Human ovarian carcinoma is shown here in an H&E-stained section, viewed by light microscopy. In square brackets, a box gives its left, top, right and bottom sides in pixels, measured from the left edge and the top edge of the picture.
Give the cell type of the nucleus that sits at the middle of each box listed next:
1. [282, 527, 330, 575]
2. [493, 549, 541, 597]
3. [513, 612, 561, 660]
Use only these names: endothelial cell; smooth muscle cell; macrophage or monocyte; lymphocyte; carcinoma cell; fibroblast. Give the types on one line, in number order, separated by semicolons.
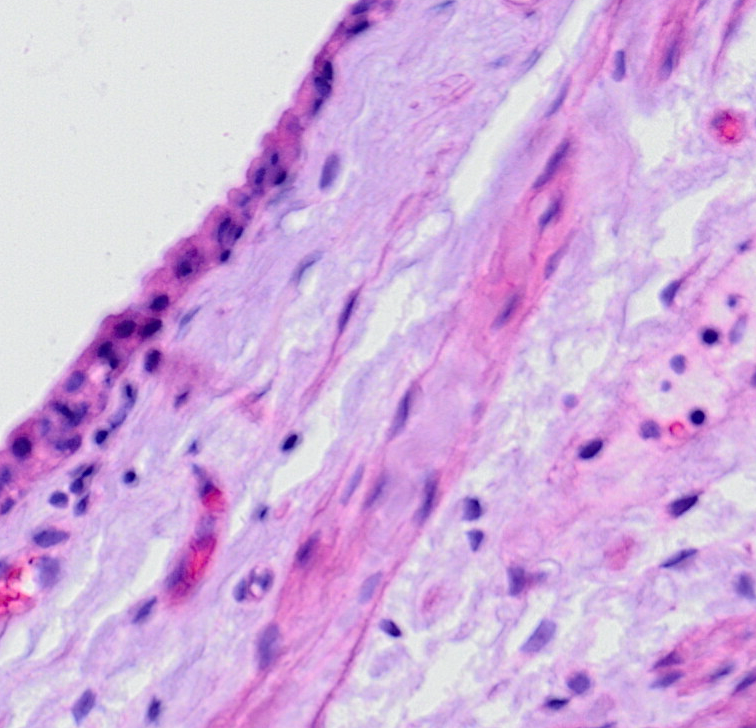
smooth muscle cell; fibroblast; fibroblast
